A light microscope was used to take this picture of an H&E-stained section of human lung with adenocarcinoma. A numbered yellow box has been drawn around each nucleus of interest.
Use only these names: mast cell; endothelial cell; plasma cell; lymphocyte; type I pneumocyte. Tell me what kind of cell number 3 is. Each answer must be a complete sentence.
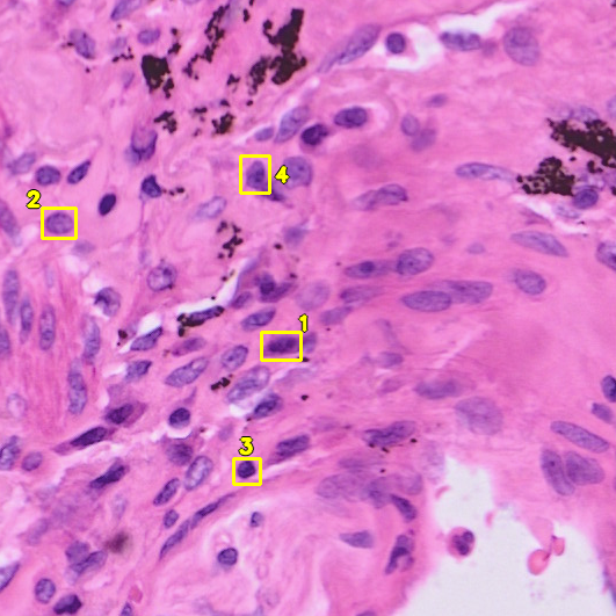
The cell that goes by number 3 is a lymphocyte.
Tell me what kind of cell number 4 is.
Cell 4 of the marked set is a lymphocyte.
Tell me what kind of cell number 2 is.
The correct answer for cell 2 is a mast cell.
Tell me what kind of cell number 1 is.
Nucleus 1 in this section belongs to a plasma cell.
